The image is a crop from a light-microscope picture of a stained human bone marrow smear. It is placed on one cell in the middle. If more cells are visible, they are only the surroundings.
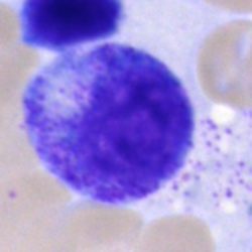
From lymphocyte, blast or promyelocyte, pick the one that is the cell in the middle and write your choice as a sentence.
The cell at the middle of the crop is recognized as a promyelocyte.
